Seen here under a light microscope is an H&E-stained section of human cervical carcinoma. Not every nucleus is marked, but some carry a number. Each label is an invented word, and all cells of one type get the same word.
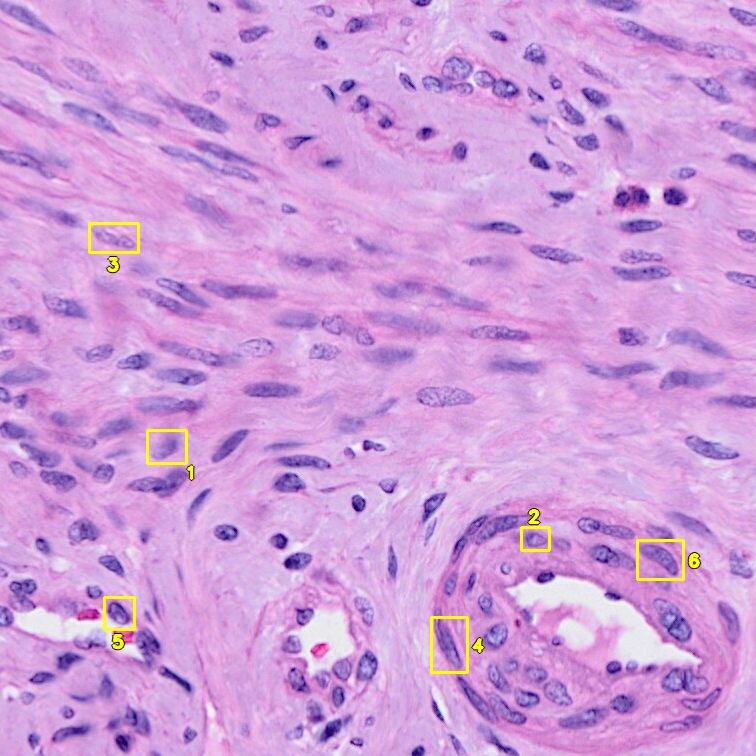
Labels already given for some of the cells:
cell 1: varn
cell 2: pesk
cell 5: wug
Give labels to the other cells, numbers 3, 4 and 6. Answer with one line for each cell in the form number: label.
3: pesk
4: pesk
6: pesk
